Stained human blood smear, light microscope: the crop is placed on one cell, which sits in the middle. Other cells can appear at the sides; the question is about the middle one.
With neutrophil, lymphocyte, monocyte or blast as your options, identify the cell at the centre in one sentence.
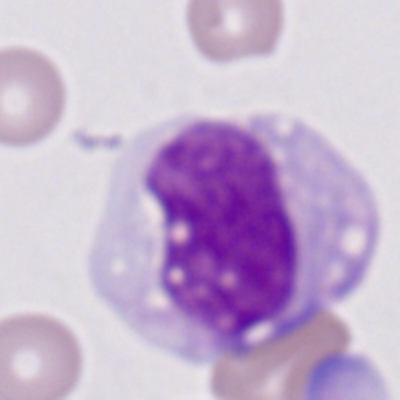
The cell featured at the centre of this crop is a monocyte.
